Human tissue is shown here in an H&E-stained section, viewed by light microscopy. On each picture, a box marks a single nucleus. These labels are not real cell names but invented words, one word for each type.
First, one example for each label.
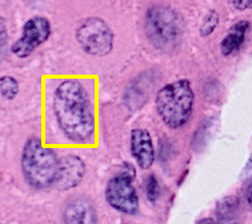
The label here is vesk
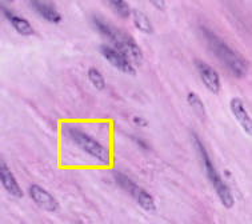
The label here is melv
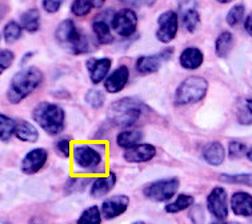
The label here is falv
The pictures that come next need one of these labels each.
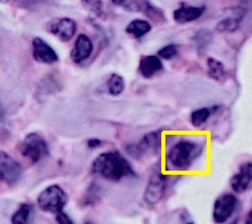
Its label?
falv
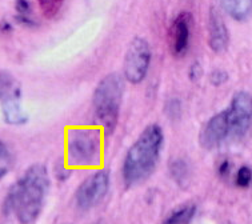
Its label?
vesk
